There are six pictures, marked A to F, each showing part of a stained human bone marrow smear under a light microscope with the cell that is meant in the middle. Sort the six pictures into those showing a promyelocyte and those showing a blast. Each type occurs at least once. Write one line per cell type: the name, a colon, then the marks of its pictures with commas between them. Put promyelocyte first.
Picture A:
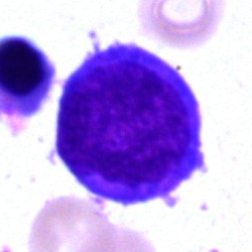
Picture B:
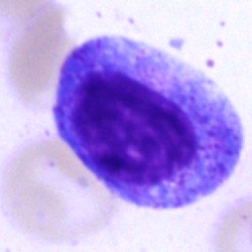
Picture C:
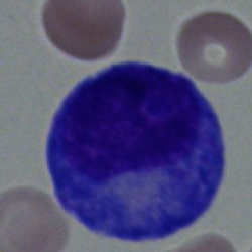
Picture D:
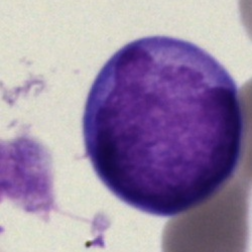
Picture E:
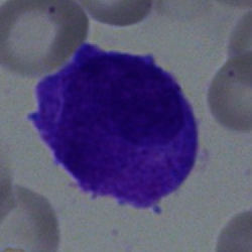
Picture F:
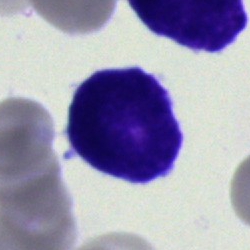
promyelocyte: B, C
blast: A, D, E, F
